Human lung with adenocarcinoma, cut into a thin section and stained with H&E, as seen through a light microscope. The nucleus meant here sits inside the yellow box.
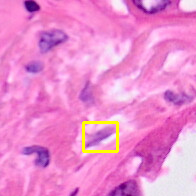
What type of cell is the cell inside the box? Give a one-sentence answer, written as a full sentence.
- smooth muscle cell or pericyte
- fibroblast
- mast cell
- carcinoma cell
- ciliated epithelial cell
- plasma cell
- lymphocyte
Placed in its cell category, the cell inside the box is a fibroblast.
